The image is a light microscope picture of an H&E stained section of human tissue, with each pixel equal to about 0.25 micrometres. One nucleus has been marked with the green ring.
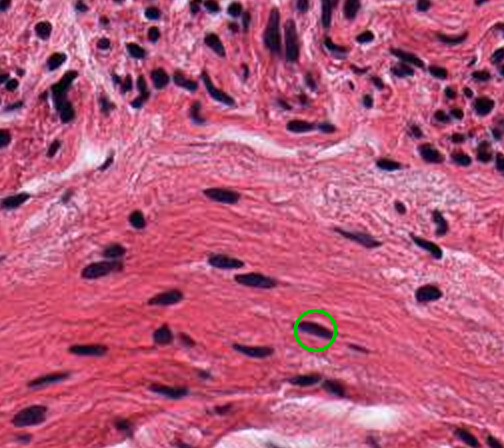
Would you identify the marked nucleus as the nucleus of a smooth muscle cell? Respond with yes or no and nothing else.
yes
